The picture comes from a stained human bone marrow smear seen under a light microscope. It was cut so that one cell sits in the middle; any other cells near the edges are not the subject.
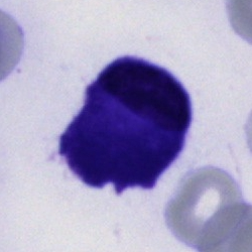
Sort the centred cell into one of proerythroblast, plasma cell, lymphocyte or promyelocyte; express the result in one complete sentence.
Here the cell in the middle is a plasma cell.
